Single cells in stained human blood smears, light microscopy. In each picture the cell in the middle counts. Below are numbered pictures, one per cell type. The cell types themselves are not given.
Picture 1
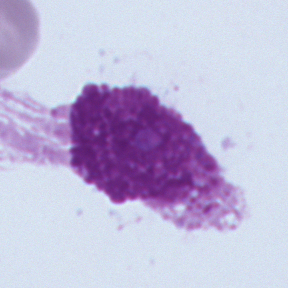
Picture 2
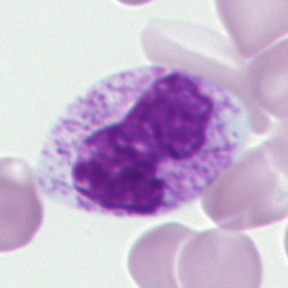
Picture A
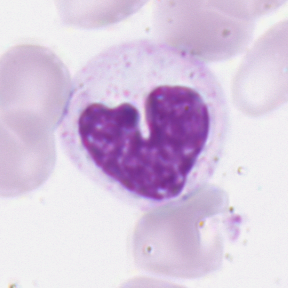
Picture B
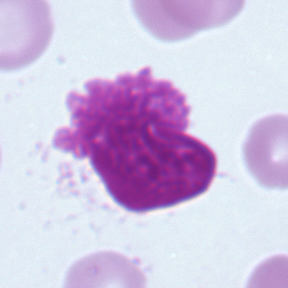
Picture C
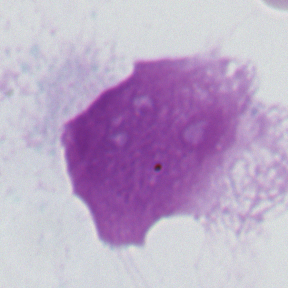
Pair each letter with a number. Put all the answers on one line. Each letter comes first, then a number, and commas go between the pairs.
A 2, B 1, C 1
